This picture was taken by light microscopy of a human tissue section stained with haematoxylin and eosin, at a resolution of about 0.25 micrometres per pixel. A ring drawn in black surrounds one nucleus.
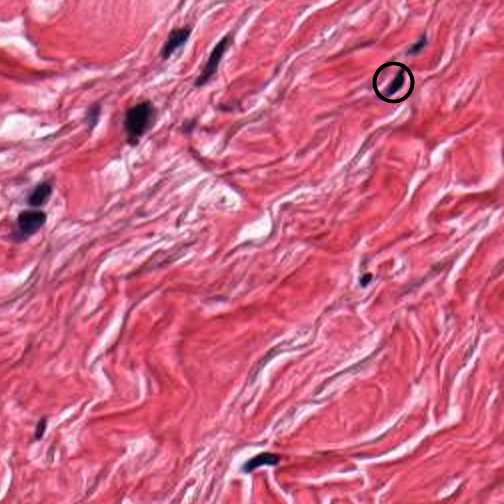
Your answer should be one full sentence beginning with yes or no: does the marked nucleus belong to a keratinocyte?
No, not to a keratinocyte does the marked nucleus belong, but to a supporting cell.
